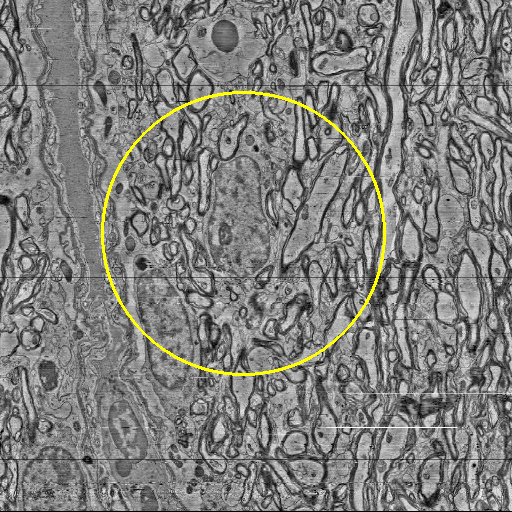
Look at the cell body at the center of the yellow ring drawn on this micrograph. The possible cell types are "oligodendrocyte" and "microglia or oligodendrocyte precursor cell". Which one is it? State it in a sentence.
The cell in the middle of the ring is an oligodendrocyte.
